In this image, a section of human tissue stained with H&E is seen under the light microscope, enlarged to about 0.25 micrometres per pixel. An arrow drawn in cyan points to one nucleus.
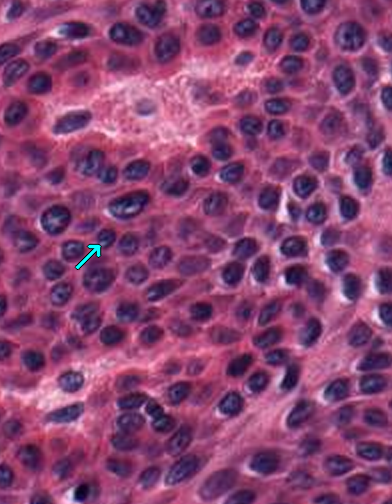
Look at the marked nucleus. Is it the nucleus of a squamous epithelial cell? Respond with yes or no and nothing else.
yes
